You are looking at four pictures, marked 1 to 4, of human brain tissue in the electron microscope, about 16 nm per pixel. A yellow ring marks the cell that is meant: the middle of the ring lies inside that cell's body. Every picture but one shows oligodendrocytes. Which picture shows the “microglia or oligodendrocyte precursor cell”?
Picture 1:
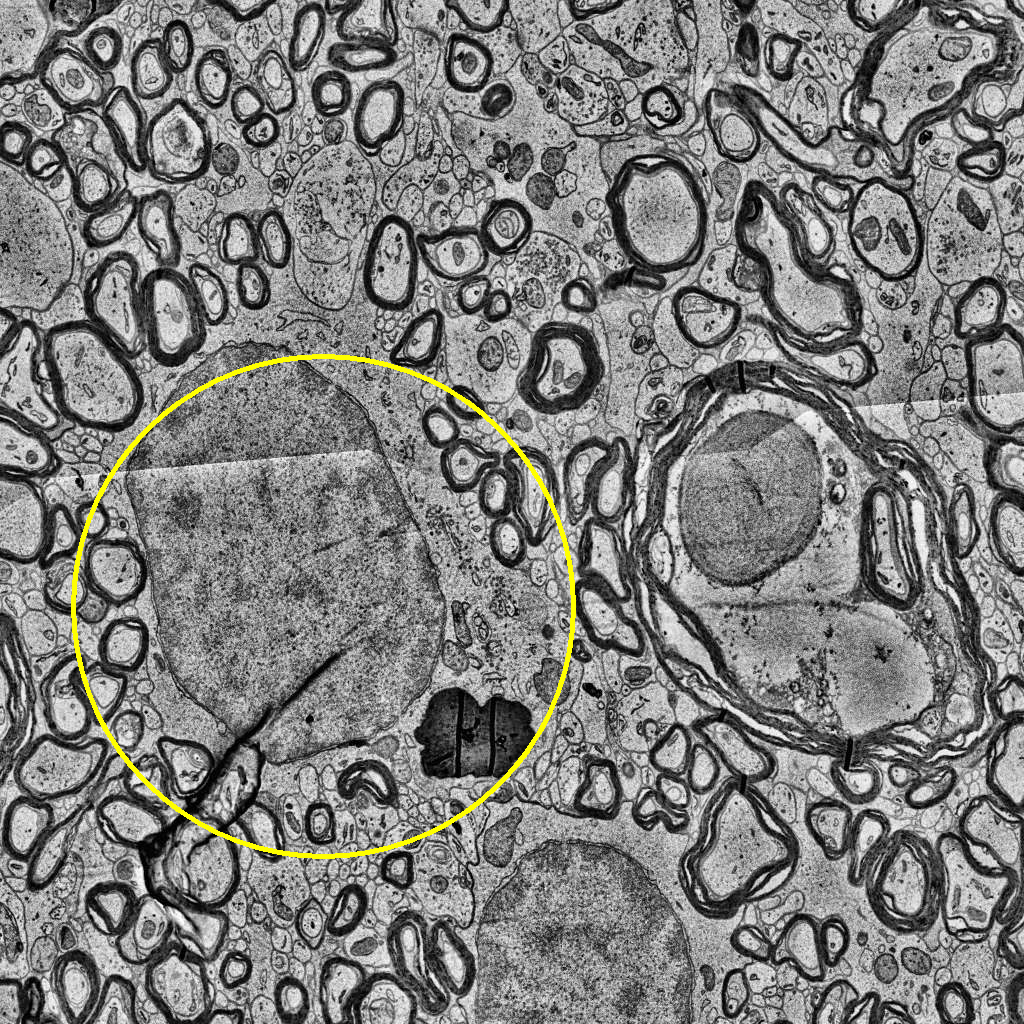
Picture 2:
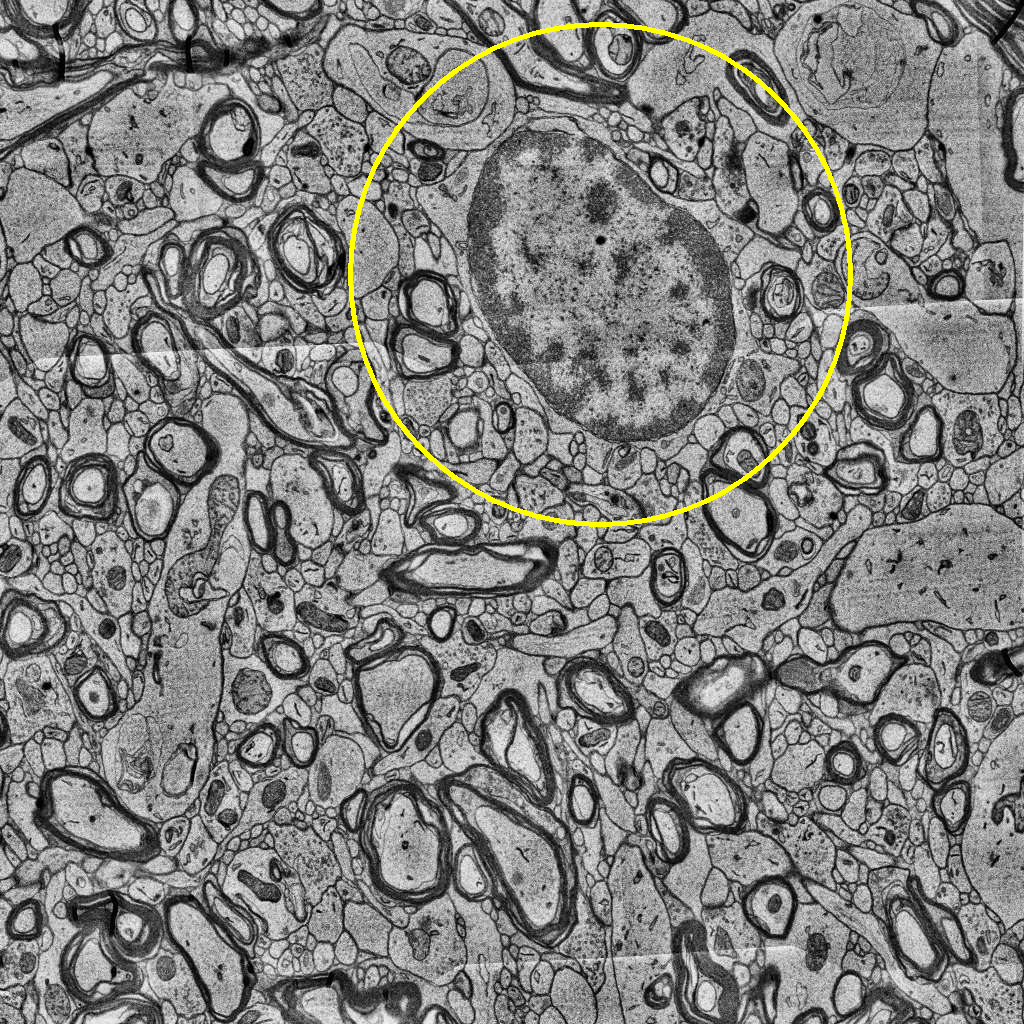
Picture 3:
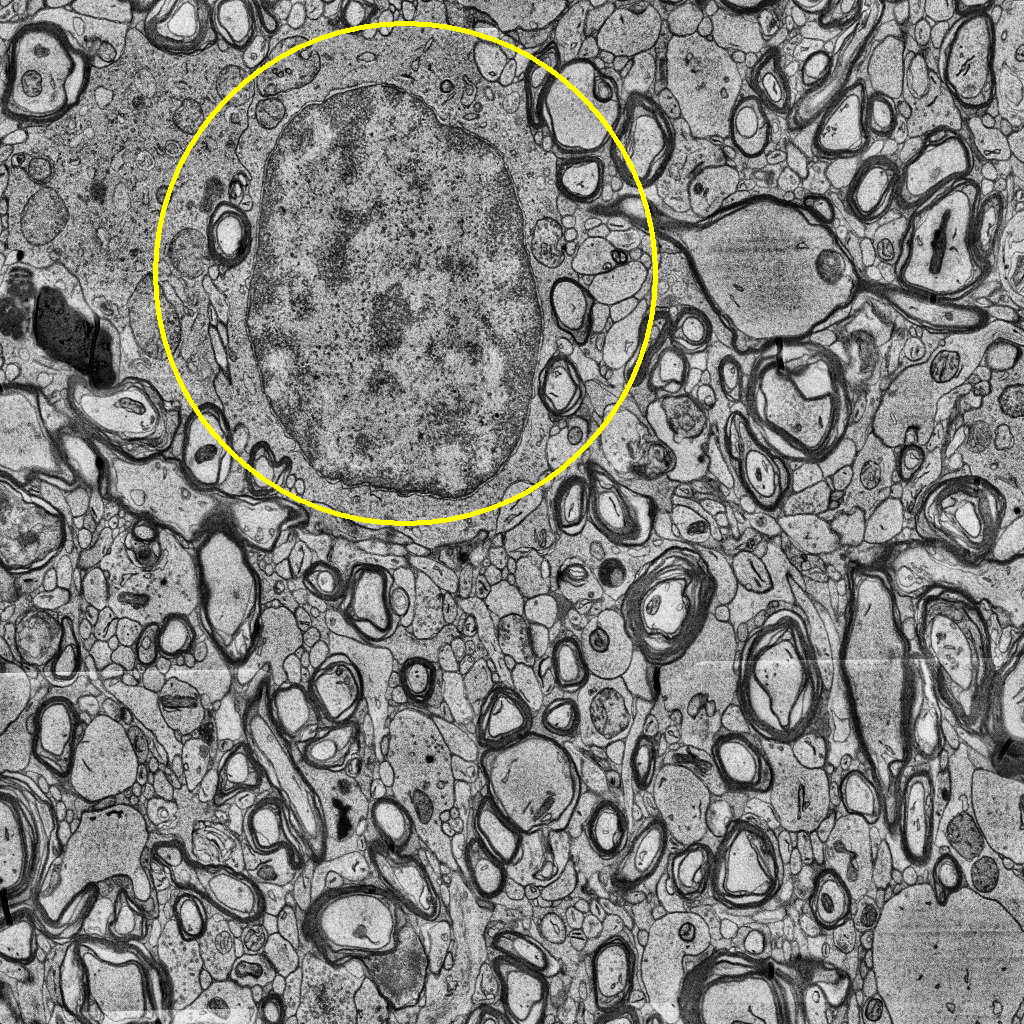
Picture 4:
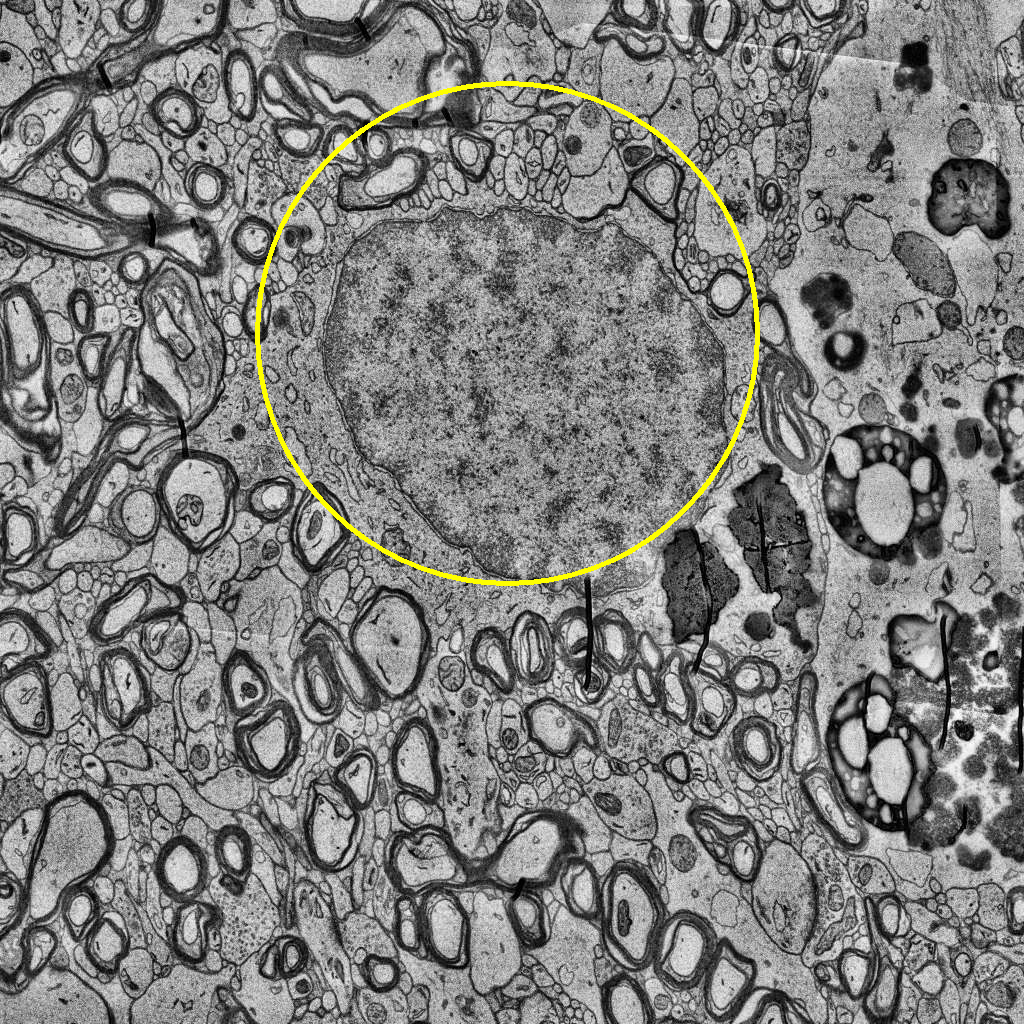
The cell in picture 2 is the “microglia or oligodendrocyte precursor cell”.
